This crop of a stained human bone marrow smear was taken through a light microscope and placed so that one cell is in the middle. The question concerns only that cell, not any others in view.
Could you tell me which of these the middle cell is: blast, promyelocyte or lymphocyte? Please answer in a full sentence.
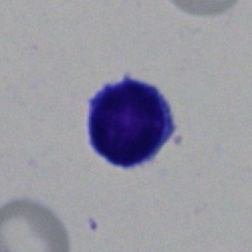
Centrally within this crop lies a lymphocyte.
